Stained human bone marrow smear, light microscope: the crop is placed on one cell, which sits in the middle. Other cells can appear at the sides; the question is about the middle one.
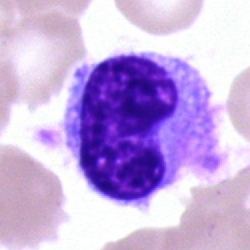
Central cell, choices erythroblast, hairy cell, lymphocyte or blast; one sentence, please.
The crop's centre is taken up by a hairy cell.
